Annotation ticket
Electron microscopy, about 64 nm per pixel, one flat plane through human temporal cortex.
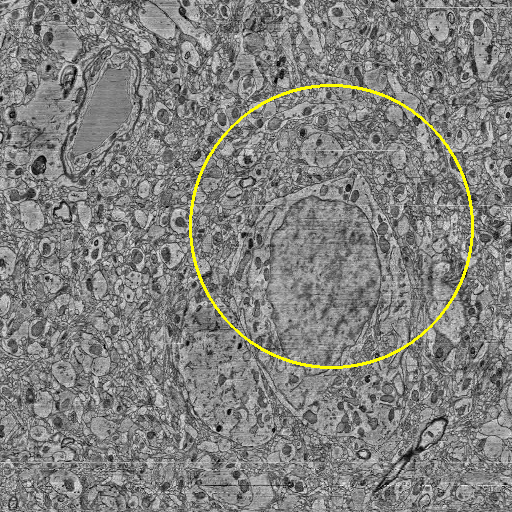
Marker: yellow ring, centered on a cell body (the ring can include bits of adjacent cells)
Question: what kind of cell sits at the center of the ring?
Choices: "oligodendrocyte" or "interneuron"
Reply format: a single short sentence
The ring is centered on an interneuron.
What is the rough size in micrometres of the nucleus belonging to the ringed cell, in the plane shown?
About 12 by 8 micrometres in this plane; clearly longer than it is wide.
